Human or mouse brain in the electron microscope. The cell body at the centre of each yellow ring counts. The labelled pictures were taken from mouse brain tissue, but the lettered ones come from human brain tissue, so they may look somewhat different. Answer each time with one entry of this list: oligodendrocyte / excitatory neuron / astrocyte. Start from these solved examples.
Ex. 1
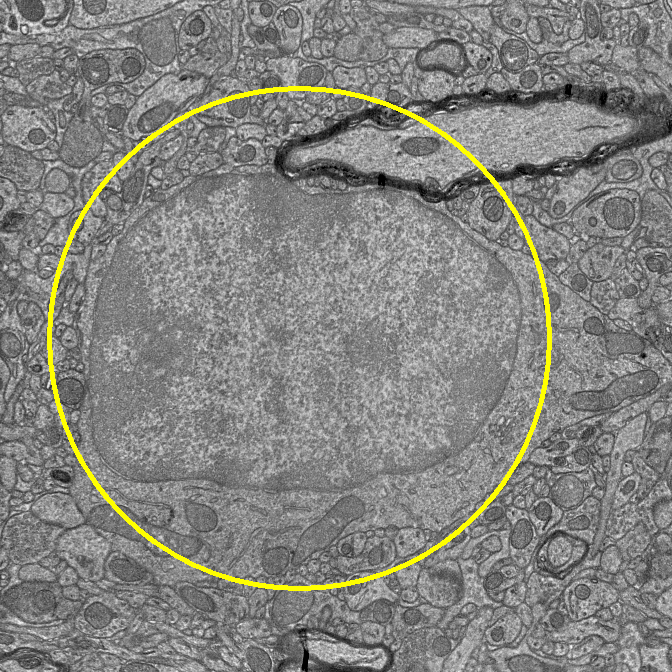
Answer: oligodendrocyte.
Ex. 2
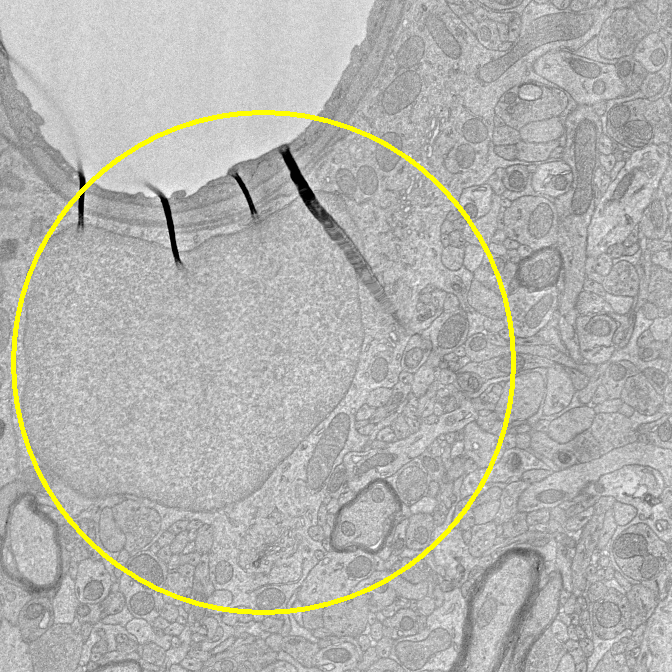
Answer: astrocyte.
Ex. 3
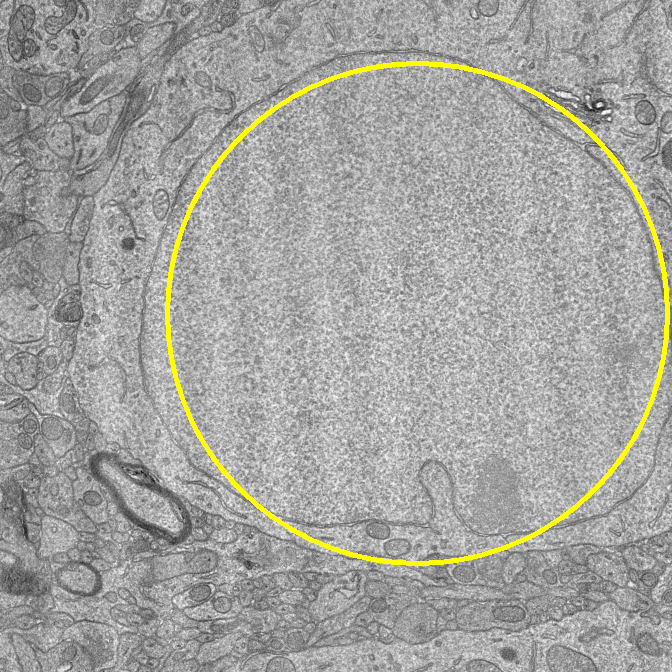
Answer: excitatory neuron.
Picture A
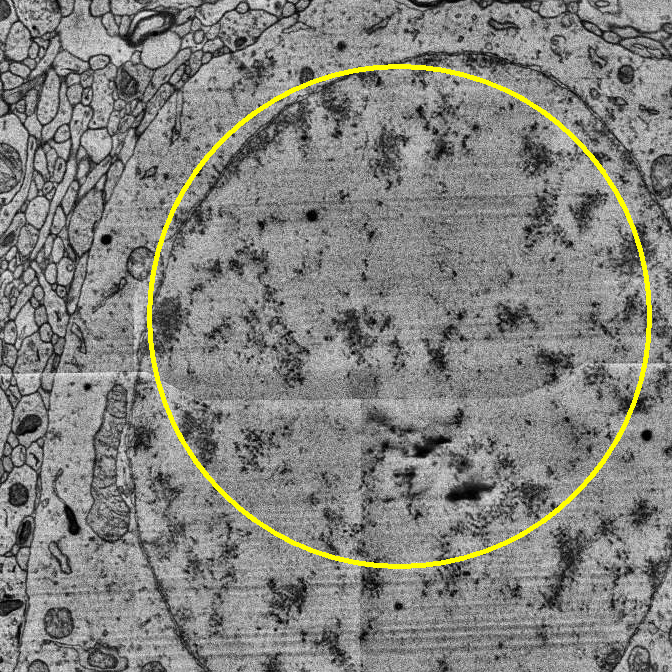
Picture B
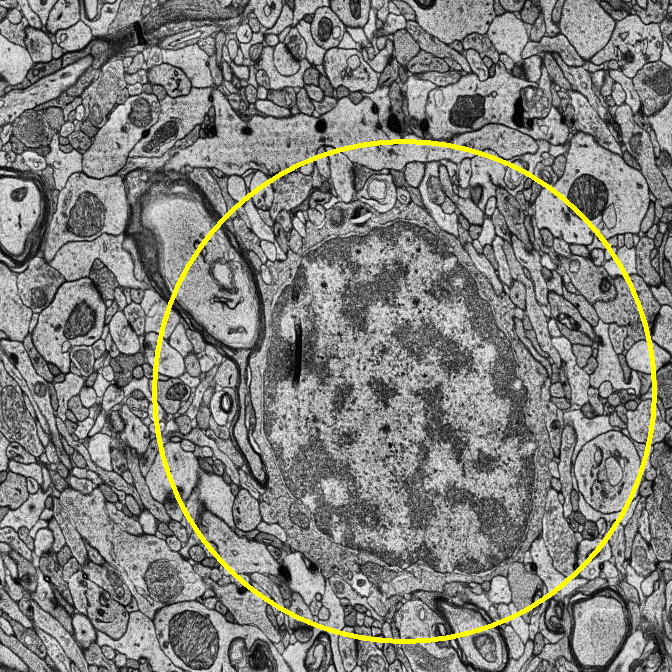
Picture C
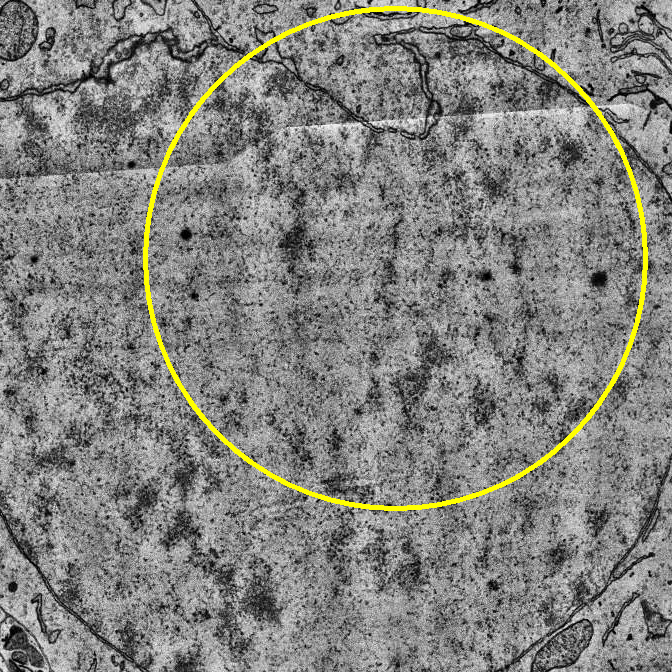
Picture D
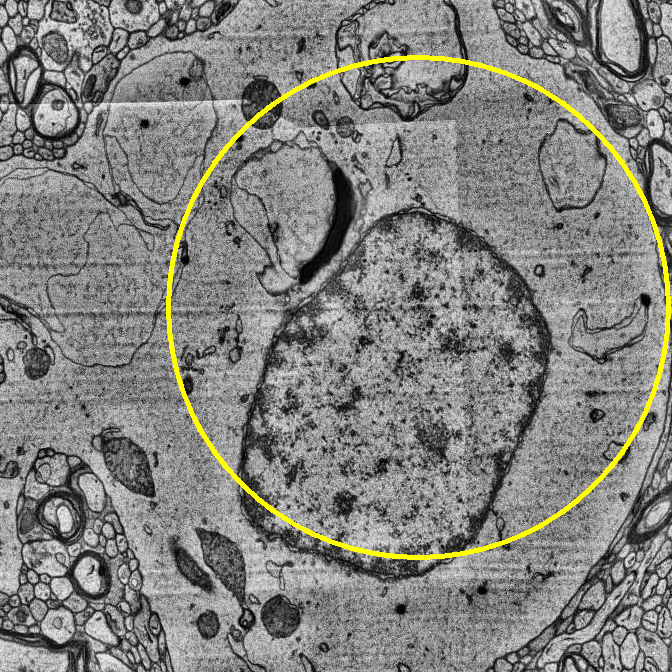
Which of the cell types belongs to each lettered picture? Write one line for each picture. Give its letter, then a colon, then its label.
A: excitatory neuron.
B: oligodendrocyte.
C: excitatory neuron.
D: astrocyte.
